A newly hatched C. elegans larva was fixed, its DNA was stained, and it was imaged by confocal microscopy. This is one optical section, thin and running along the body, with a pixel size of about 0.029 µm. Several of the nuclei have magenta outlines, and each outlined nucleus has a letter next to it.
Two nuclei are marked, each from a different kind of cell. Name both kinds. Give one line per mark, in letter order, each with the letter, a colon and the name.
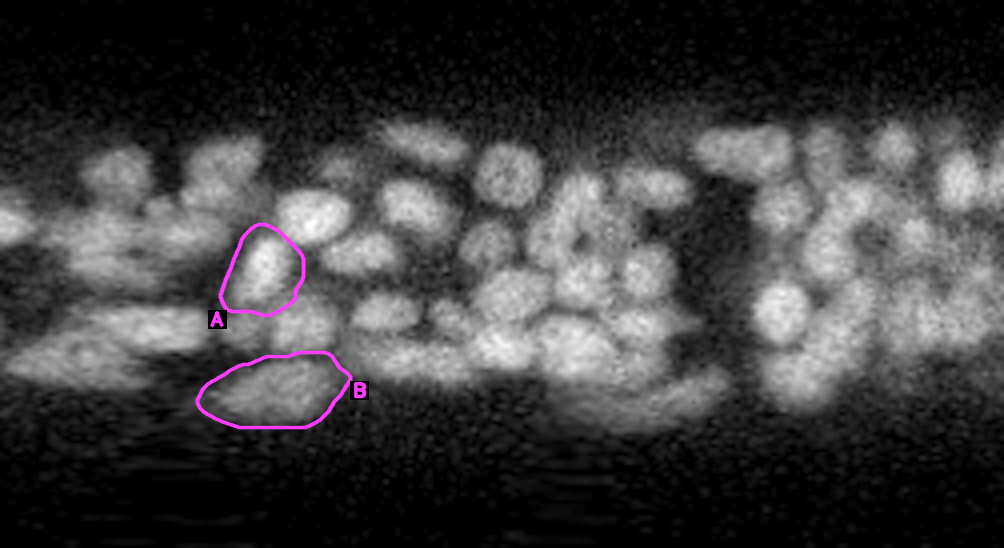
A: pharyngeal muscle cell
B: body wall muscle cell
